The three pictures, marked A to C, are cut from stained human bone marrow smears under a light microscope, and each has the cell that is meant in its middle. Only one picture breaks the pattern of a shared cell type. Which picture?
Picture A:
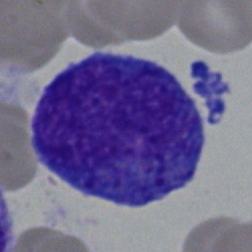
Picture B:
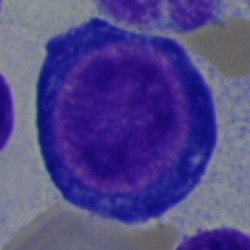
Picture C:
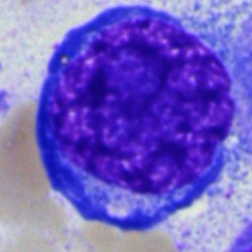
A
